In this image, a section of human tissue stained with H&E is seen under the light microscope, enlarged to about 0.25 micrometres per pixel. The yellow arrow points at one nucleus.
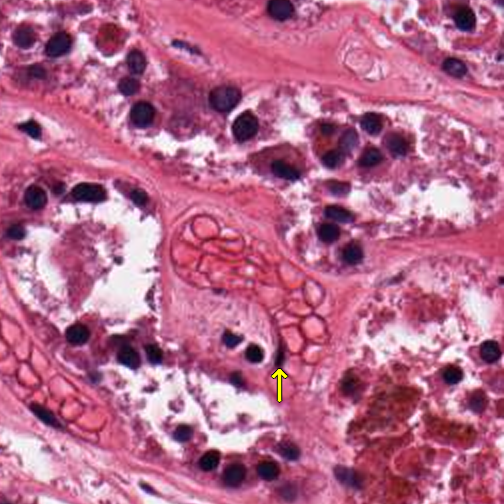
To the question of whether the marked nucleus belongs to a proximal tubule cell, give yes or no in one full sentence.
No, the marked nucleus belongs to a supporting cell of connective tissue, a vessel or the immune system, not to a proximal tubule cell.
